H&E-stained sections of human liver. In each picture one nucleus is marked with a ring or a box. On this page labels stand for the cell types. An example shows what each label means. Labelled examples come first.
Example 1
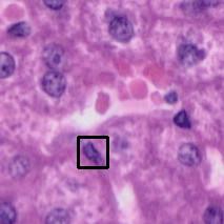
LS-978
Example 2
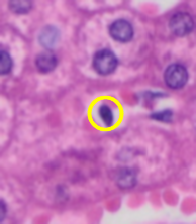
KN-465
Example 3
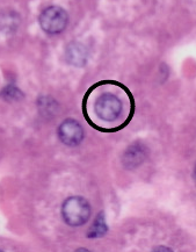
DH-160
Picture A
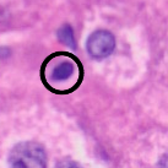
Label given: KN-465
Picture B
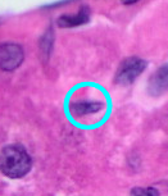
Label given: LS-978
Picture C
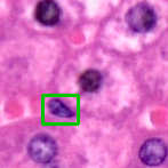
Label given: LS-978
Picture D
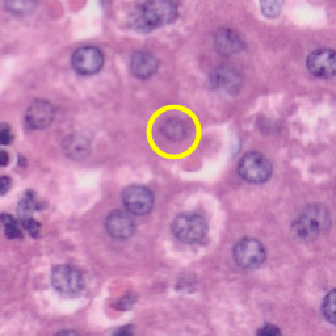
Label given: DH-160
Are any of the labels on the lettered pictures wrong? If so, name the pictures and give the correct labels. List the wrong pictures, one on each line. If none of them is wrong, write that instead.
Every label is right.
